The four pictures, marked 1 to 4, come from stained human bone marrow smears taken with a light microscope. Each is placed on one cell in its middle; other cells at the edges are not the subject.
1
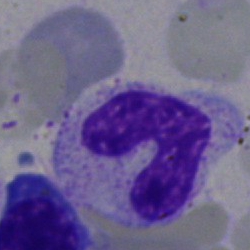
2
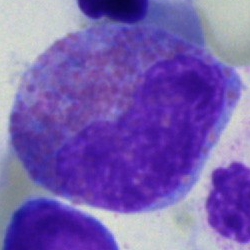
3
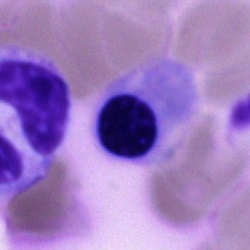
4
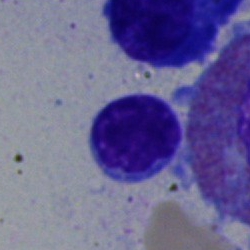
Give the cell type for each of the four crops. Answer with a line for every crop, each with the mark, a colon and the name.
1: band neutrophil
2: eosinophil
3: erythroblast
4: lymphocyte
